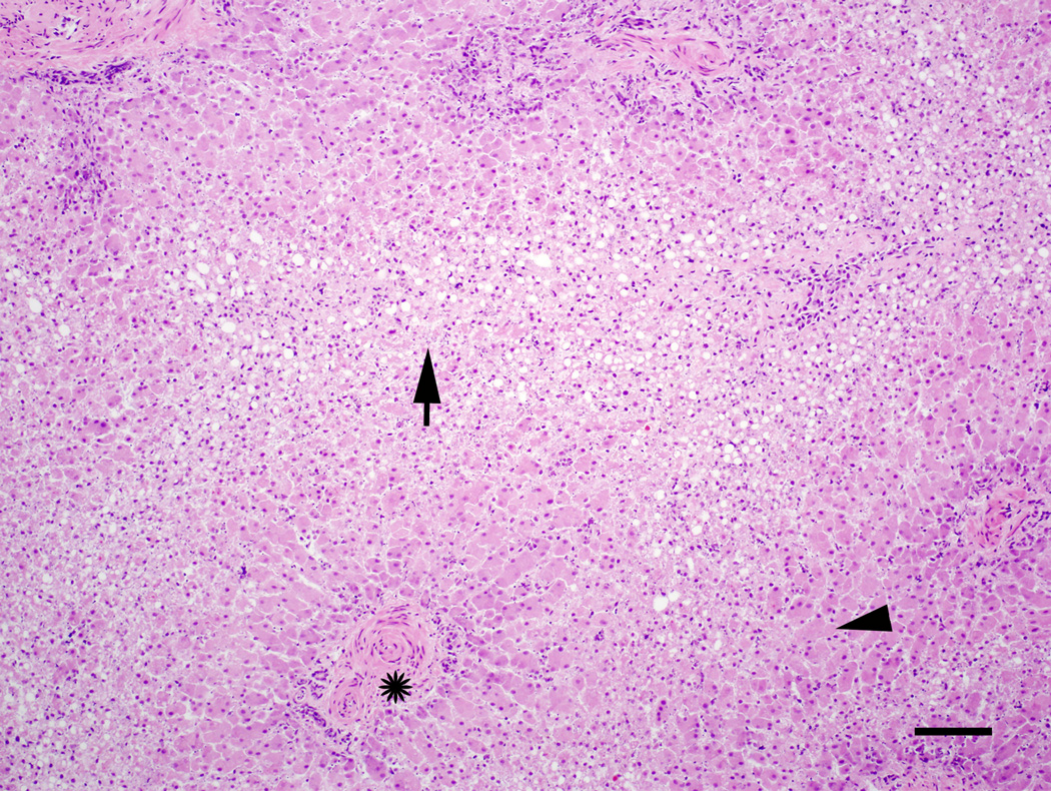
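This is liver tissue whose centre is severely damaged: hepatocytes in the central zone are vacuolated, necrotic and lost, and the lobule there has collapsed. In this zone the tissue is pale and loose. Many remaining cells hold clear round vacuoles, and scattered small dark nuclei lie among disrupted pink material. Toward the lower edge and the right, hepatocytes look preserved. They are large polygonal cells with dense pink cytoplasm and round nuclei, arranged in cords. Near the bottom lies a portal tract. It contains vessels with thick, concentrically layered pink walls and is rimmed by small dark cells. Similar vessel profiles appear along the top edge.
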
